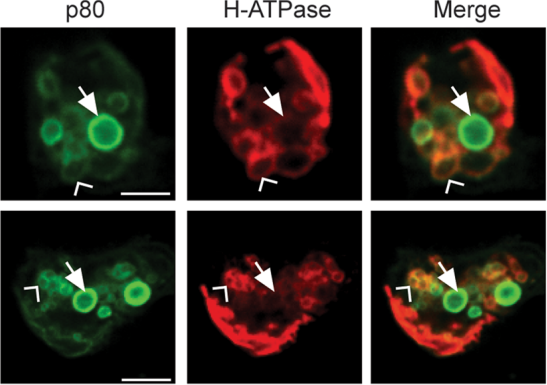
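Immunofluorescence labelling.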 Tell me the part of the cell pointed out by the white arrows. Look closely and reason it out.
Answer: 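The arrows point to large round vacuoles with a bright green rim. The same vacuoles show no red rim in the red channel. In the merge these vacuoles stay green, not yellow. That points to this answer: post-lysosomes.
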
